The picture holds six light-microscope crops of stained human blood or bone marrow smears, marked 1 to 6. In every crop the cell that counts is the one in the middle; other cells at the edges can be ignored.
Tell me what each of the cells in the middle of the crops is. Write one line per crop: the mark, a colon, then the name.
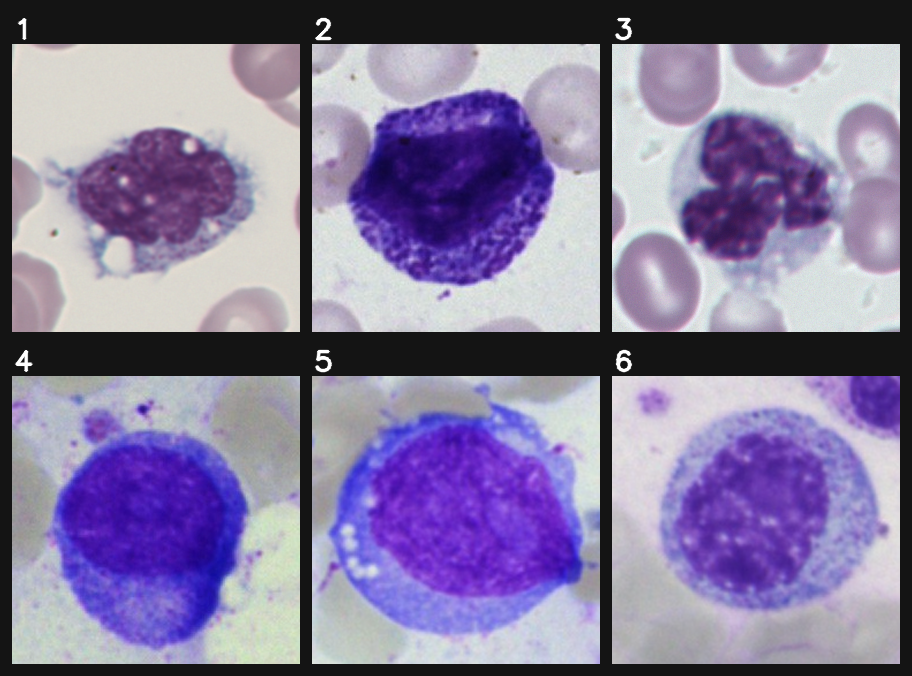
1: monocyte
2: promyelocyte
3: monocyte
4: promyelocyte
5: blast
6: promyelocyte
